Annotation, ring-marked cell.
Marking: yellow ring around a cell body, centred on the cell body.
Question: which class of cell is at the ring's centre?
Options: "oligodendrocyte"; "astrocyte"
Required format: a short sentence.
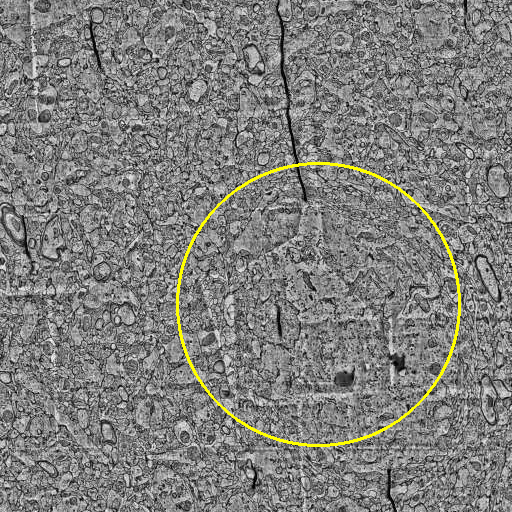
At the ring's centre is an oligodendrocyte.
